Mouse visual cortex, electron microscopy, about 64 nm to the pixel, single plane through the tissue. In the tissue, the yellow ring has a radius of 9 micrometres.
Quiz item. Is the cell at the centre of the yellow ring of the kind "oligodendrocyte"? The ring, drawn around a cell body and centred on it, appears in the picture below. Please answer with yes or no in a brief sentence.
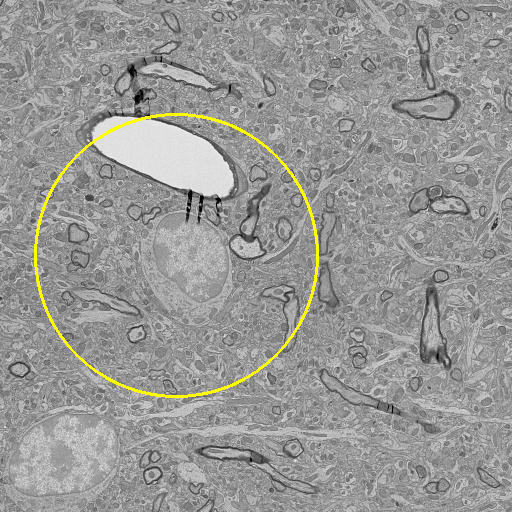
Yes, it is that kind of cell.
